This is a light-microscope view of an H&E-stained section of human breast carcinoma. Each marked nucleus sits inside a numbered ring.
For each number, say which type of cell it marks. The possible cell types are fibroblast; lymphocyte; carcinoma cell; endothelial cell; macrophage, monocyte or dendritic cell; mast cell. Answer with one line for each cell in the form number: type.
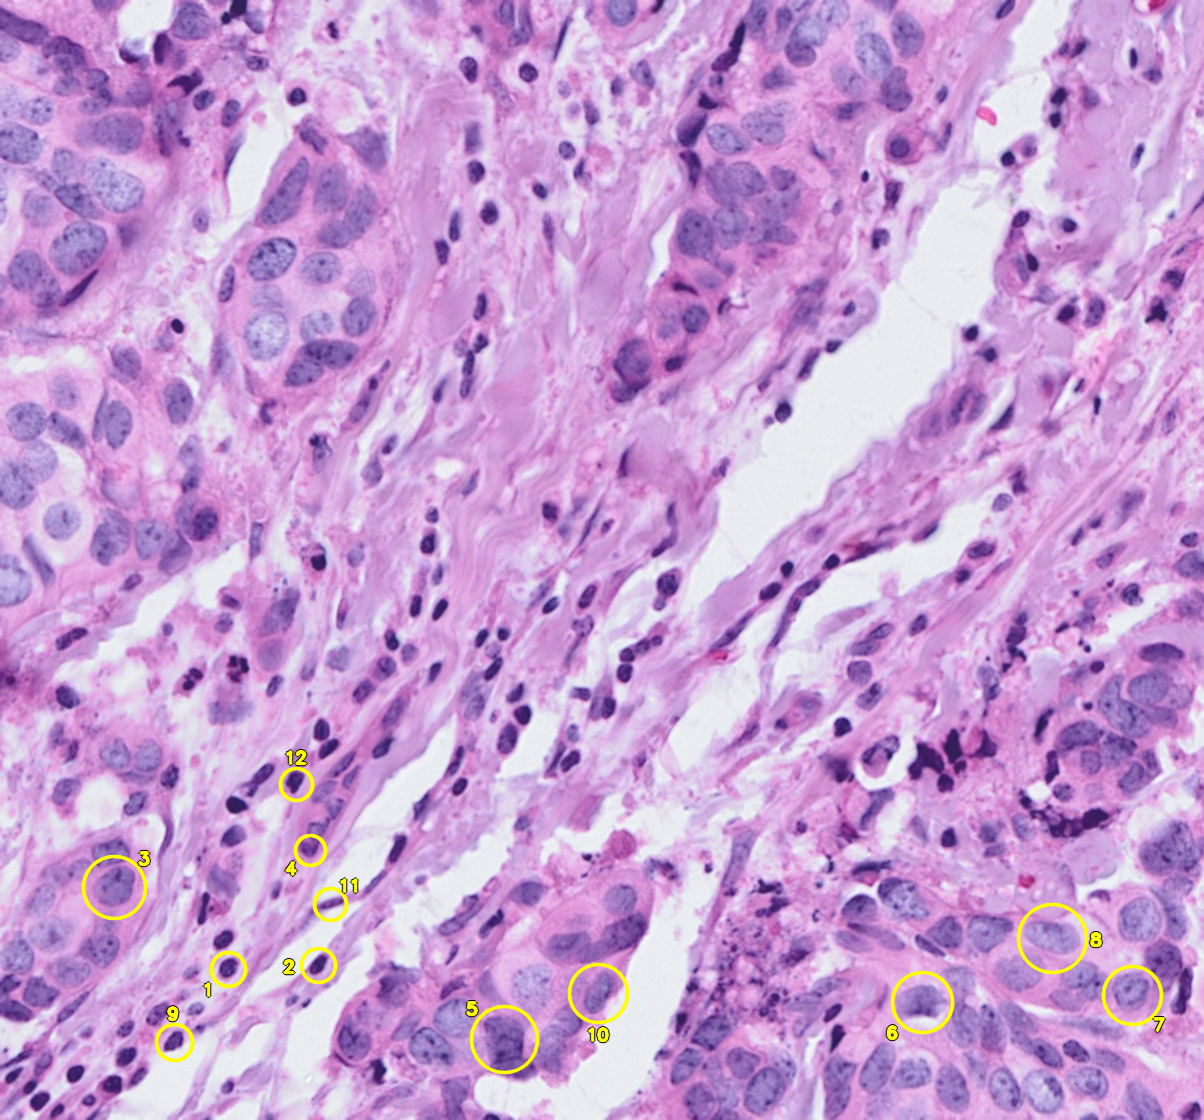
1: lymphocyte
2: lymphocyte
3: carcinoma cell
4: endothelial cell
5: carcinoma cell
6: carcinoma cell
7: carcinoma cell
8: carcinoma cell
9: lymphocyte
10: carcinoma cell
11: fibroblast
12: lymphocyte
